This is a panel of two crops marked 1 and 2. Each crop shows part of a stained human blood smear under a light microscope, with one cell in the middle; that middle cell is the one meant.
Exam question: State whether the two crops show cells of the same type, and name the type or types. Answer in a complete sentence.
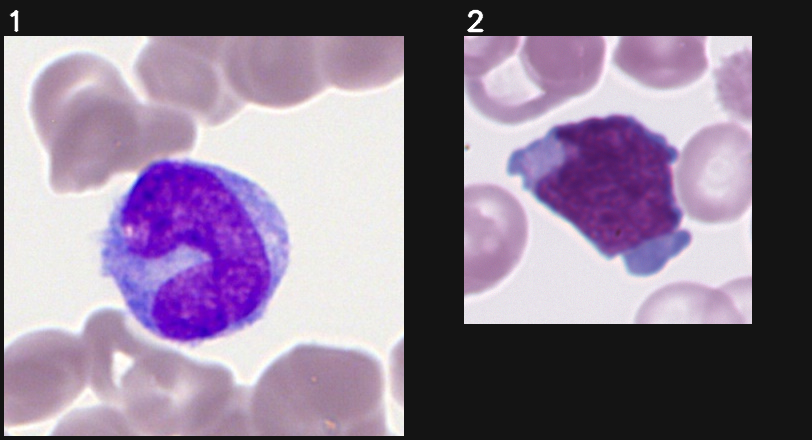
No, crop 1 is of a monocyte, and crop 2 is of a blast.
